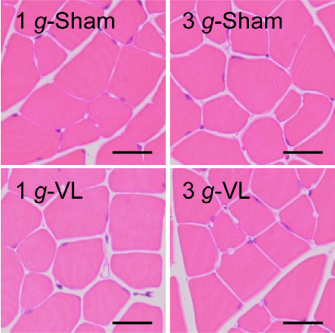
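These are transverse sections of skeletal muscle in which individual myofibers are seen in cross-section. Small dark purple nuclei are found at the periphery of the fibers. Thin pale lines of space outline each fiber, giving the tissue a mosaic appearance.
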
